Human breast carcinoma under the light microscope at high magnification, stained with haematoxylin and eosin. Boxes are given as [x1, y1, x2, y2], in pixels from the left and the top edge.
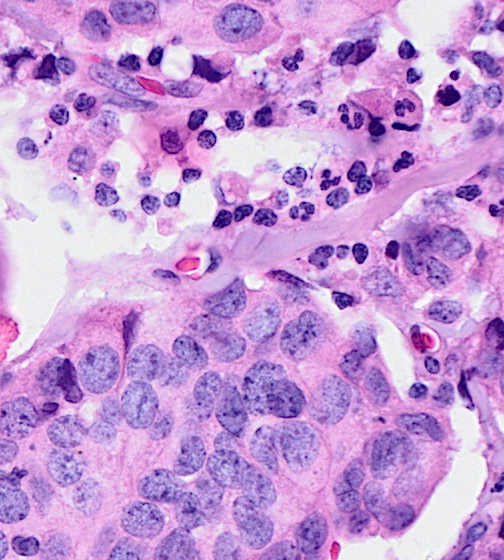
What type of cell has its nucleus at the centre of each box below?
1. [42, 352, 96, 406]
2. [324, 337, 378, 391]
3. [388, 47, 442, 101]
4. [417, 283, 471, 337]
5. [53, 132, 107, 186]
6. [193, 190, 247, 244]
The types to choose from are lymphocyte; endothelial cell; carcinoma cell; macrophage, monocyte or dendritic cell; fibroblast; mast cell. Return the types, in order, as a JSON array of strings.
["carcinoma cell", "carcinoma cell", "lymphocyte", "macrophage, monocyte or dendritic cell", "macrophage, monocyte or dendritic cell", "lymphocyte"]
